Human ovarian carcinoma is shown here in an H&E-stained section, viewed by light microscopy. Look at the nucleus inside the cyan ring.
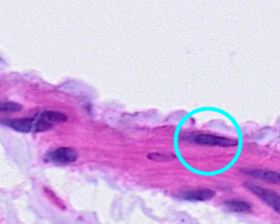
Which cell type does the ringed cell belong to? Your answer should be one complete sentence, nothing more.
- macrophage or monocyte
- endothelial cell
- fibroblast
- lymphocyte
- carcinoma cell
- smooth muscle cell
To be brief about it, the ringed cell is a smooth muscle cell.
